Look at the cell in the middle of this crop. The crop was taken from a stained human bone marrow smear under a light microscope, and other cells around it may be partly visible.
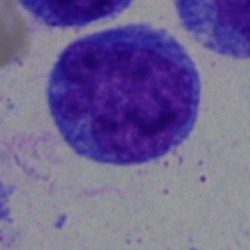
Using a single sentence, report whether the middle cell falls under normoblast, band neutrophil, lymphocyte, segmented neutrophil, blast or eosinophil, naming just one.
At the center of the crop sits a blast.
